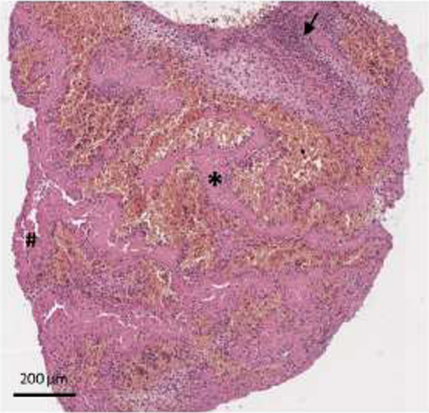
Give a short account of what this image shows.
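Section of a thrombus with alternating layers: pale pink bands of fibrin-platelet material wind between zones packed with red-orange erythrocytes, forming Zahn lines. Small dark purple nuclei of leucocytes are scattered through the pale bands and gather densely in a band near the upper edge. The red-cell zones are loosely packed with clefts between them.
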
